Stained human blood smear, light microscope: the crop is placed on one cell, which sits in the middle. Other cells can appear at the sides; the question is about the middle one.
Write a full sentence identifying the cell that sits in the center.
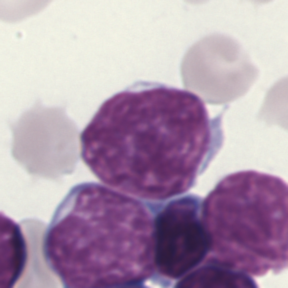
In the middle of this smear crop is a myeloblast.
